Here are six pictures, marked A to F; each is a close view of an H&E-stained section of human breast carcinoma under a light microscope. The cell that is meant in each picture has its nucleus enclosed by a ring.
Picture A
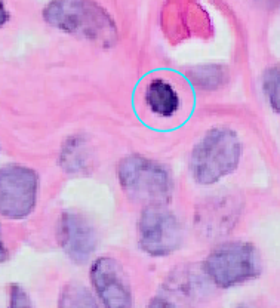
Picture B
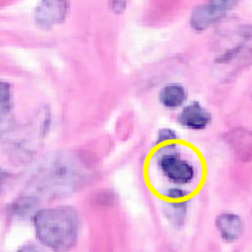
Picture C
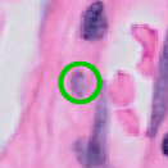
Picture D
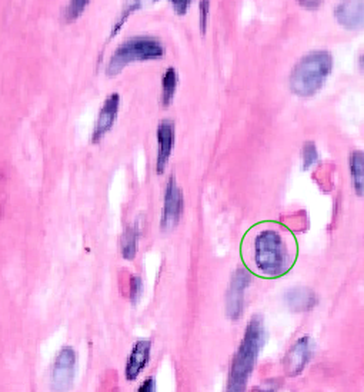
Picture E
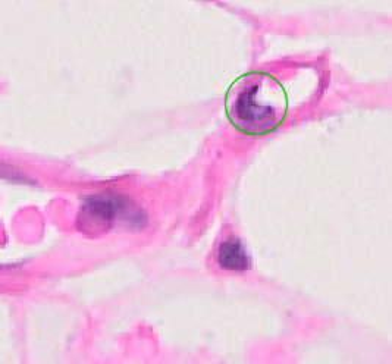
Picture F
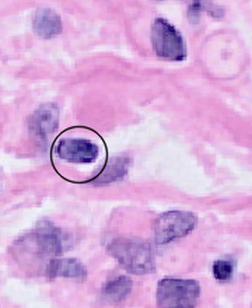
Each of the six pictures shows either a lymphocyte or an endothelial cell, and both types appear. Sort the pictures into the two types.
A: lymphocyte
B: lymphocyte
C: endothelial cell
D: endothelial cell
E: endothelial cell
F: lymphocyte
